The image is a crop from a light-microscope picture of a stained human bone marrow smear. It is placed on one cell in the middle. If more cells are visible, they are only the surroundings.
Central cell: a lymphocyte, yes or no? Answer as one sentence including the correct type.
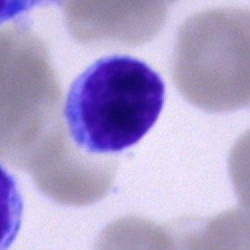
Yes, this crop has a lymphocyte at its centre.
